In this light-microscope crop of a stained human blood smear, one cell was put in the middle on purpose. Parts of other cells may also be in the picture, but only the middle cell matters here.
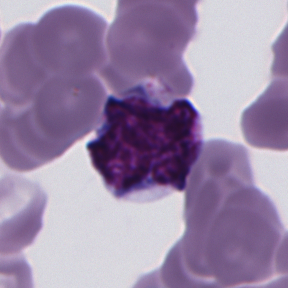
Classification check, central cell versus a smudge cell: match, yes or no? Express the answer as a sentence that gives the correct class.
No, the central cell is counted as a myeloblast instead of a smudge cell.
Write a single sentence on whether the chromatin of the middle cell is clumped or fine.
Its chromatin is clumped in a coarse pattern.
